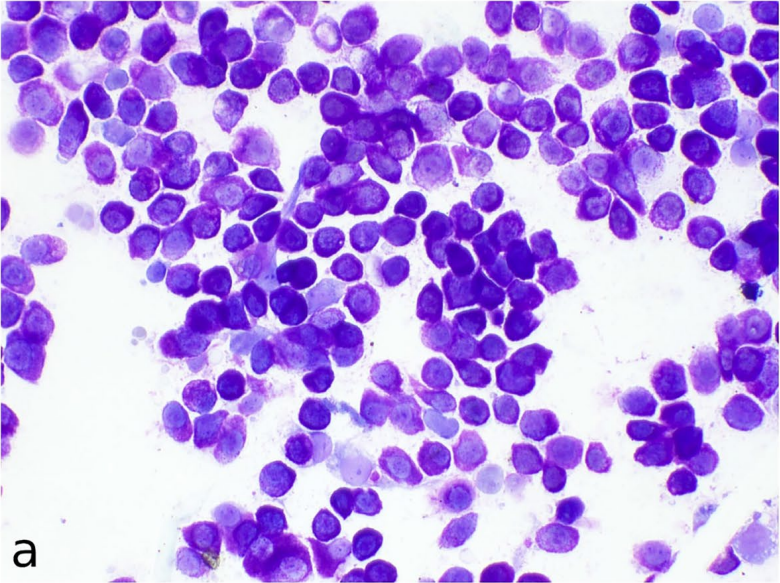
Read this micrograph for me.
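The cells are round, of fairly uniform size, and lie singly or crowded in loose sheets without forming cohesive clusters. Nuclei are round and central or slightly eccentric. The cytoplasm is moderate in amount and stains purple to deep violet with a fine granular texture, in many cells dense enough to hide the nucleus, while others are paler. Scattered free purple granules lie in the clear background between the cells.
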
